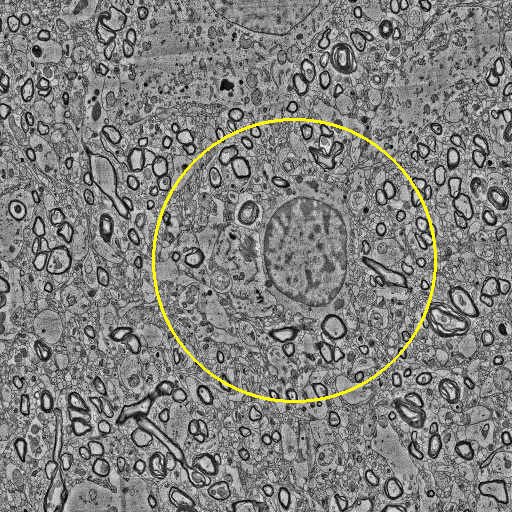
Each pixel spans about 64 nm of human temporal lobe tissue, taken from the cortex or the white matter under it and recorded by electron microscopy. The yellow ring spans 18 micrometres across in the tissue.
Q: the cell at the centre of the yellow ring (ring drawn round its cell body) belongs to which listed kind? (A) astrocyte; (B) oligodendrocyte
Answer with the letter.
B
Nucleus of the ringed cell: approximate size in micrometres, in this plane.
The nucleus comes to roughly 7 by 5 micrometres in this plane.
